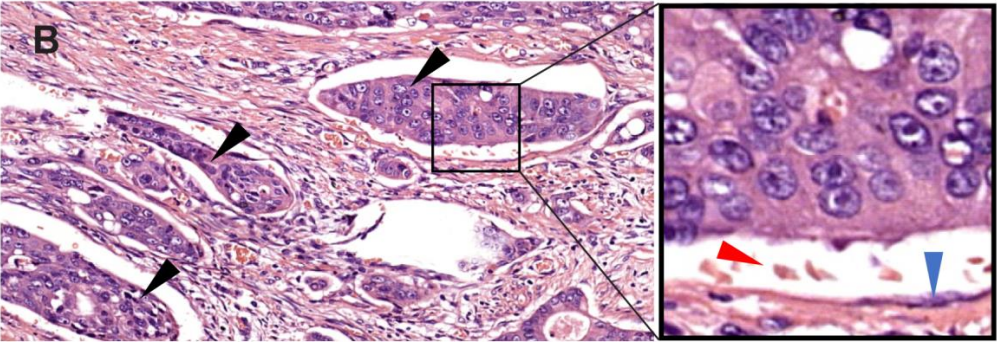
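This section of cancer tissue shows solid nests of large tumour cells lying within elongated spaces that are lined by a thin wall. The tumour cells have abundant pink cytoplasm and large round to oval nuclei with open chromatin and distinct nucleoli. Each nest is separated from its lining wall by a narrow clear gap, in which a few small non-nucleated red cells can be seen. The lining wall is thin, with flattened elongated dark nuclei. Around the nests lies pink fibrous stroma with scattered spindle-shaped nuclei and smaller vessels.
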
